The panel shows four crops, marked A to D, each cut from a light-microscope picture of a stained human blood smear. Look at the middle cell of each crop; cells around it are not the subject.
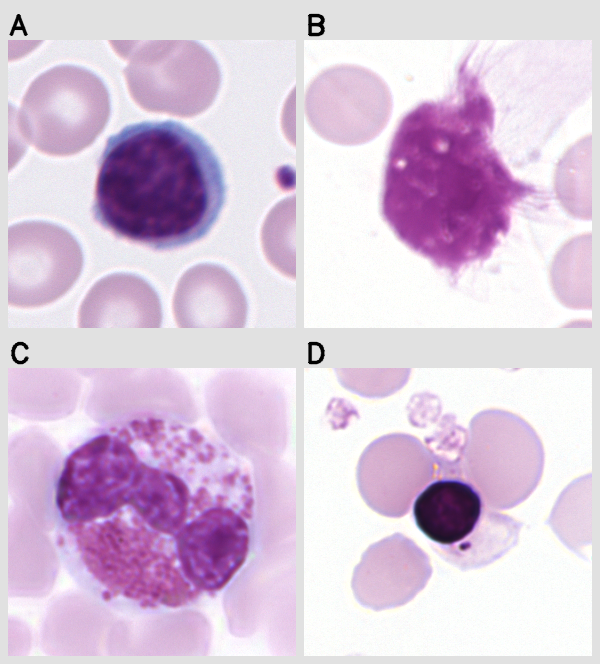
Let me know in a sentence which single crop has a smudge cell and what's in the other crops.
At the centre of crop B lies a smudge cell, while crop A is a typical lymphocyte, crop C is an eosinophil and crop D is an erythroblast.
